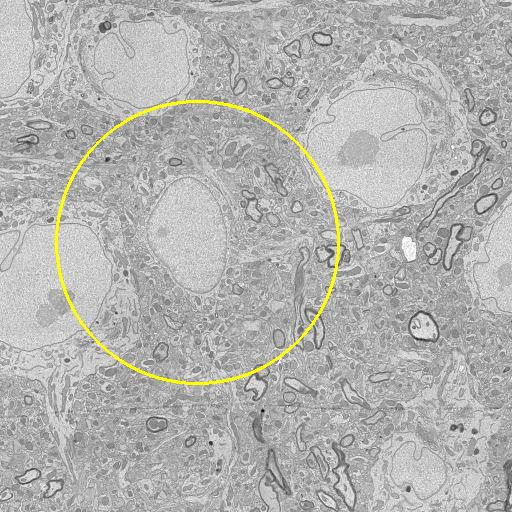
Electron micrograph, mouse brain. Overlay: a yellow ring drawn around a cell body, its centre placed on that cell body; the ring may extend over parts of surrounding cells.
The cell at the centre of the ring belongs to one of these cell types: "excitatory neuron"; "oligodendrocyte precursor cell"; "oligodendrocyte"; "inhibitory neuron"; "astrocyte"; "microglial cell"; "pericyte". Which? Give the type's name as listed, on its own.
astrocyte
